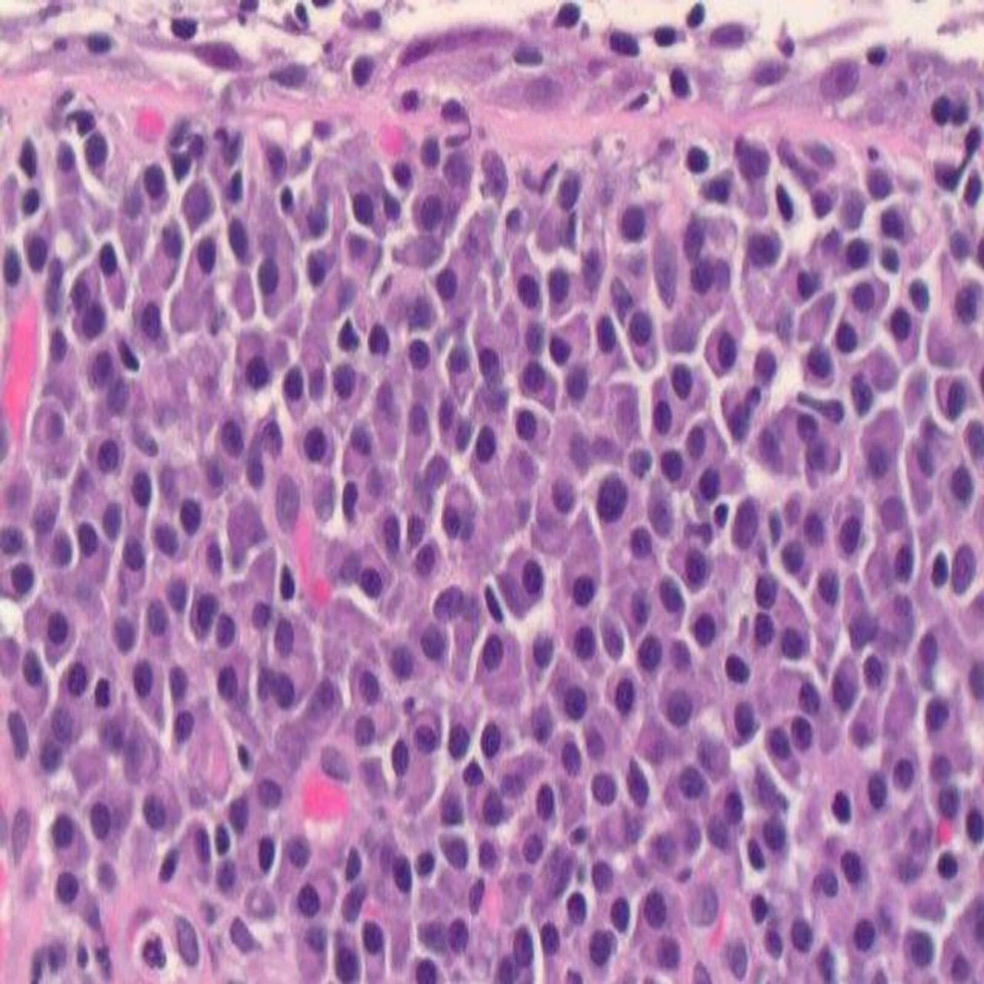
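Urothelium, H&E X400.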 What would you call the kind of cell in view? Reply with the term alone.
mature plasma cell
